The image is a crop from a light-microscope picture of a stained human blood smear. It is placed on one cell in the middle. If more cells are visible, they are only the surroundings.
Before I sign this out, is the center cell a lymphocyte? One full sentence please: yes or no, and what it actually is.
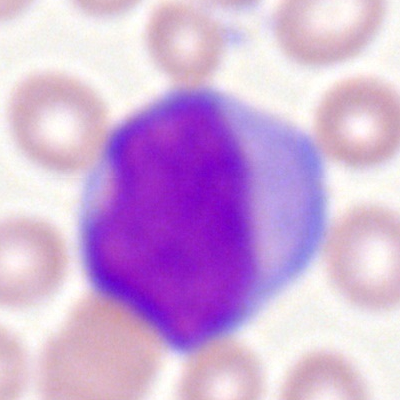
No, the cell occupying the centre is a blast, not a lymphocyte.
